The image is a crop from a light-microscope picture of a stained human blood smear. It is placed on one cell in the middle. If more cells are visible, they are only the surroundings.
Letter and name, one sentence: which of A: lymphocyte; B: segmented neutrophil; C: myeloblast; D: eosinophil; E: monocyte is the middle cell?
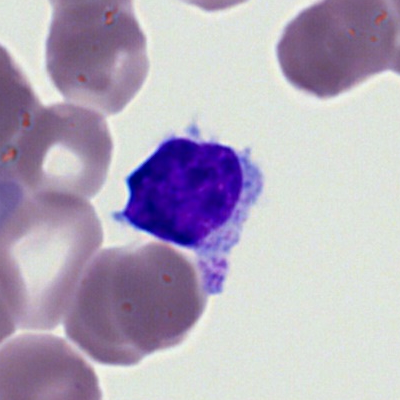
The correct option here is A; the middle cell is a lymphocyte.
